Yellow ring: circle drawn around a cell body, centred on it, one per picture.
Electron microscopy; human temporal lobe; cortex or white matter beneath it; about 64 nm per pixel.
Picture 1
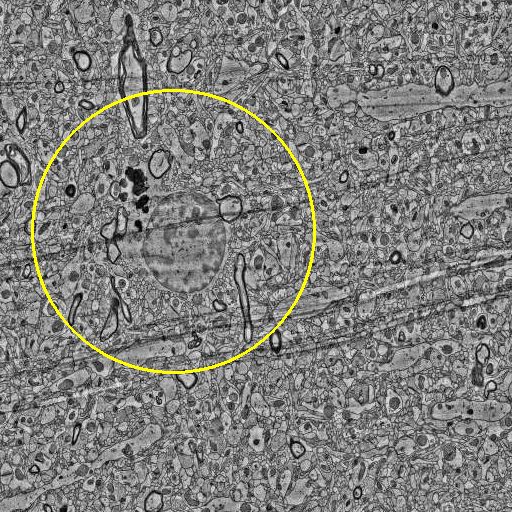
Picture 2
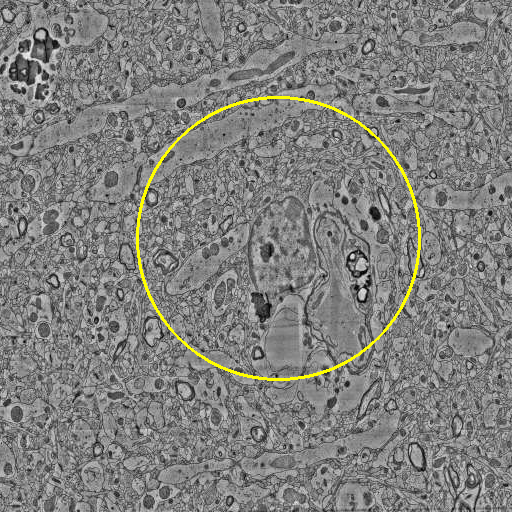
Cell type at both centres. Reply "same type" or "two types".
same type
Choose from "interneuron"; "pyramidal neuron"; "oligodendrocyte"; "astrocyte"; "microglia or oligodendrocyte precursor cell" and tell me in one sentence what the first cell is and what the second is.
Each of the ringed cells, first and second, is an oligodendrocyte.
